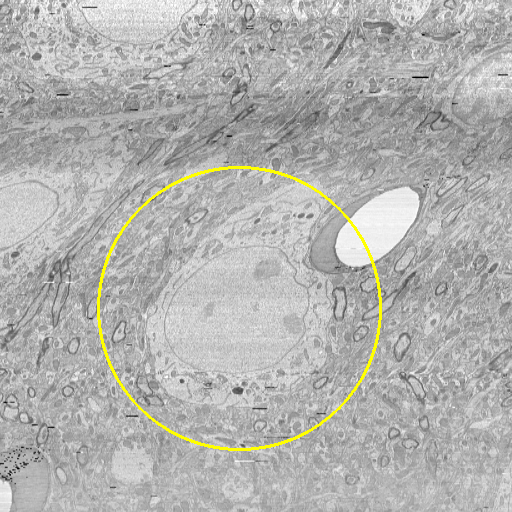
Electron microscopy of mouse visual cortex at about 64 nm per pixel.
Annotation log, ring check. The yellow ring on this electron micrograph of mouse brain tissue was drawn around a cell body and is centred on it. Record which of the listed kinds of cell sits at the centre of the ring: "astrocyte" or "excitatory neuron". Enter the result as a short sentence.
The cell at the centre of the ring is an excitatory neuron.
